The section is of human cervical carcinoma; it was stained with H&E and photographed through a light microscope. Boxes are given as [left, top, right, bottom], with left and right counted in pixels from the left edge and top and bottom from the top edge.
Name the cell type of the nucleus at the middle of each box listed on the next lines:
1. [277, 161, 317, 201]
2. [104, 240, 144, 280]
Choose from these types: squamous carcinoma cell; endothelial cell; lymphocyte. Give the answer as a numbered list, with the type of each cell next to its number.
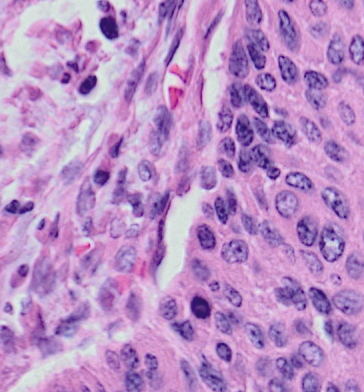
1. squamous carcinoma cell
2. endothelial cell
